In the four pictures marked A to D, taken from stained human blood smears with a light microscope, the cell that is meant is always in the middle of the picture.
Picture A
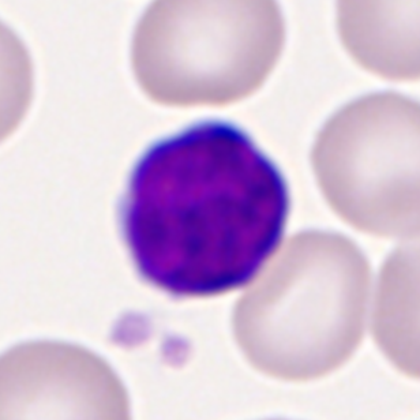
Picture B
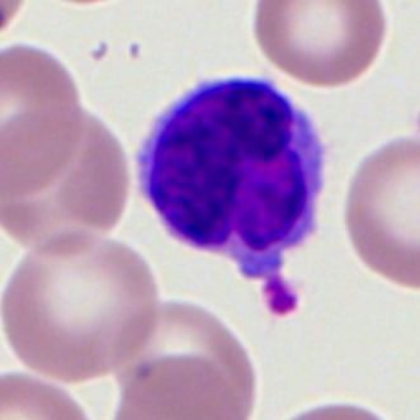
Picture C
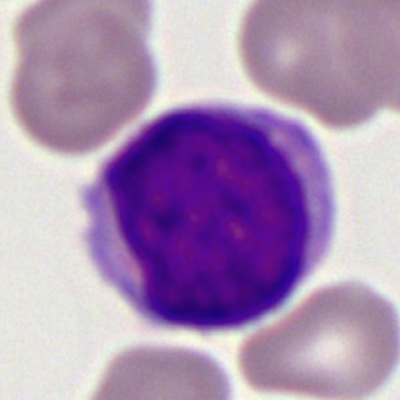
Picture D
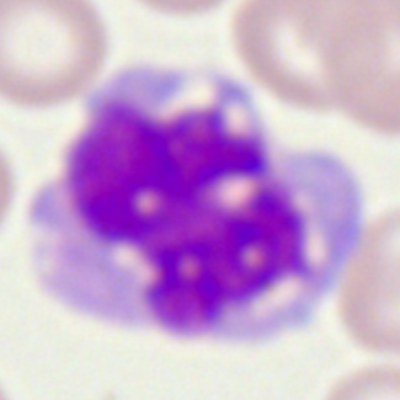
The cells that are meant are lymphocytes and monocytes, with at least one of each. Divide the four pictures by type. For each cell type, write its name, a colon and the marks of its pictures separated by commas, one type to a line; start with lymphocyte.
lymphocyte: A, B, C
monocyte: D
